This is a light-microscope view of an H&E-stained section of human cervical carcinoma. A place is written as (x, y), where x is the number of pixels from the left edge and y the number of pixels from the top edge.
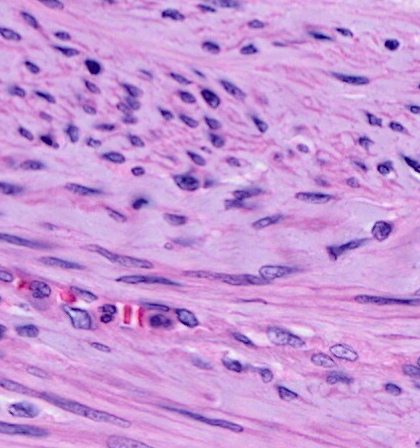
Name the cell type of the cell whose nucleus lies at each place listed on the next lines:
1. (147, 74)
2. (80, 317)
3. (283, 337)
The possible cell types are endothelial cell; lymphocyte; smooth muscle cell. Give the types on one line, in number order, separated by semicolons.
smooth muscle cell; endothelial cell; endothelial cell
